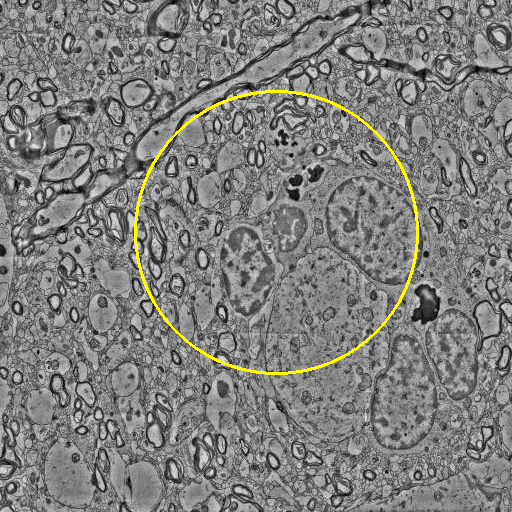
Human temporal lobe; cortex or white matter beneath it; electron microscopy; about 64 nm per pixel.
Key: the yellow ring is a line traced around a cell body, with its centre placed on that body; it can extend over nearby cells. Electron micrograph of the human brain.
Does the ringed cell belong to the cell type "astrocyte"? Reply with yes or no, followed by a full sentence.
No, the cell at the centre of the yellow ring in the picture is of another type.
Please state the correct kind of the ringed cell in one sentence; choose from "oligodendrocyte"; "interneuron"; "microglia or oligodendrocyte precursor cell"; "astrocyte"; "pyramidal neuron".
Instead, the cell inside the ring is an oligodendrocyte.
